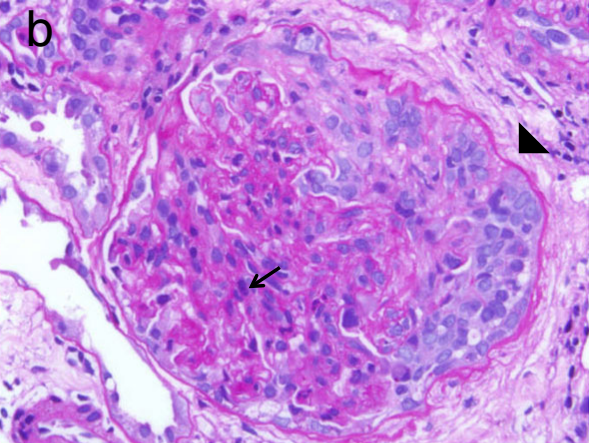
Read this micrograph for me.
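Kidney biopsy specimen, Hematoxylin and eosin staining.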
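A glomerulus is shown whose tuft is crowded with many nuclei set in magenta-staining matrix, indicating mesangial proliferation. Around the tuft, inside the capsule, a layer of crowded cells forms a cellular crescent, and the surrounding interstitium is fibrous with scattered cells.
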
